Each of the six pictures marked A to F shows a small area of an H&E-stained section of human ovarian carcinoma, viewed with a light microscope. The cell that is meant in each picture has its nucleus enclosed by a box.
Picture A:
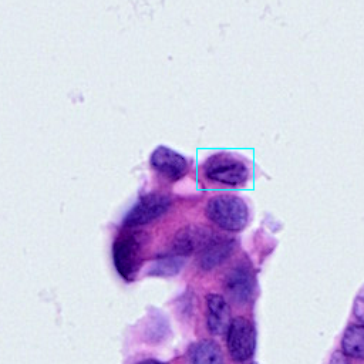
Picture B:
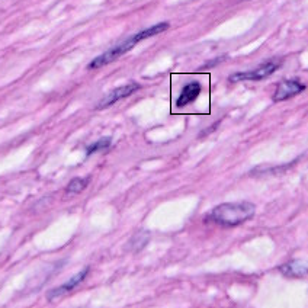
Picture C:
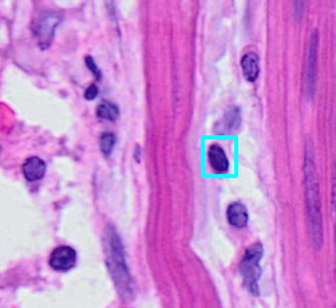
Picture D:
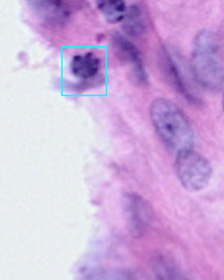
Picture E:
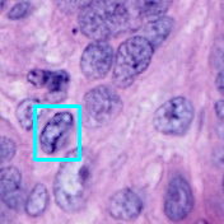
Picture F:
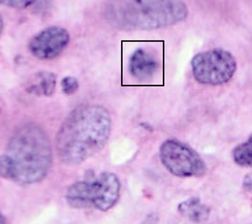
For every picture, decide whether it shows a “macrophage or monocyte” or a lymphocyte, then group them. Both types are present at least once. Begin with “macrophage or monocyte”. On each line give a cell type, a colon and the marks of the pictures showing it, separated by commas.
macrophage or monocyte: A, E
lymphocyte: B, C, D, F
